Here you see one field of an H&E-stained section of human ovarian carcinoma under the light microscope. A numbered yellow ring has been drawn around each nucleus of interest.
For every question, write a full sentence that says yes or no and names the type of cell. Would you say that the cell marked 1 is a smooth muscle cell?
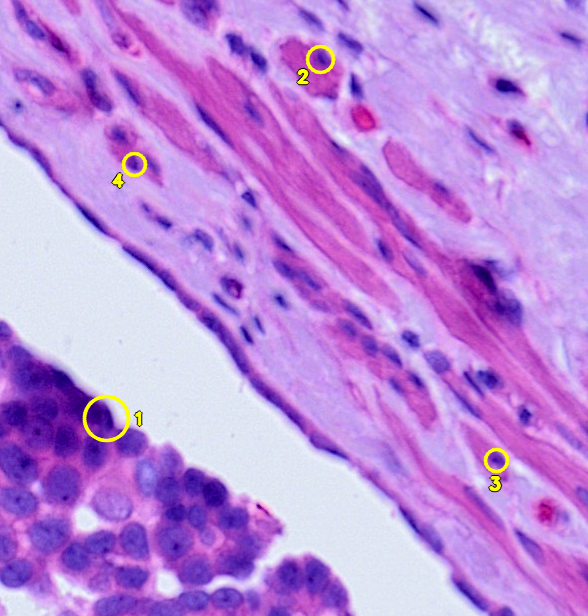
No, cell 1 is a carcinoma cell and should not be called a smooth muscle cell.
